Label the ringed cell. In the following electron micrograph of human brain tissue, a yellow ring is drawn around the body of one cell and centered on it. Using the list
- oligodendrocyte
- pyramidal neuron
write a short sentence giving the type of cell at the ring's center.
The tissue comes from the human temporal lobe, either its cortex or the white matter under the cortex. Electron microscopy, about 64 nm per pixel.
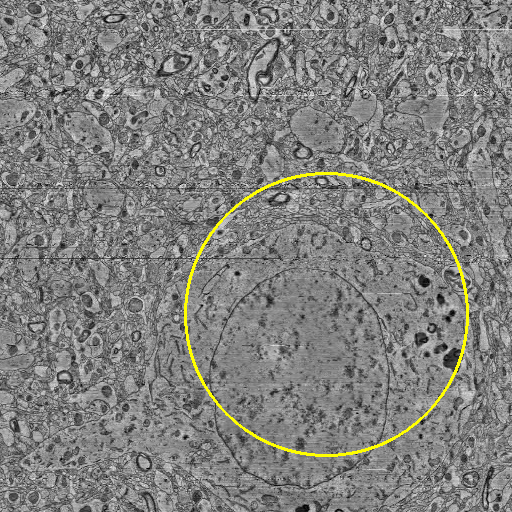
The cell body at the ring's center is that of a pyramidal neuron.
